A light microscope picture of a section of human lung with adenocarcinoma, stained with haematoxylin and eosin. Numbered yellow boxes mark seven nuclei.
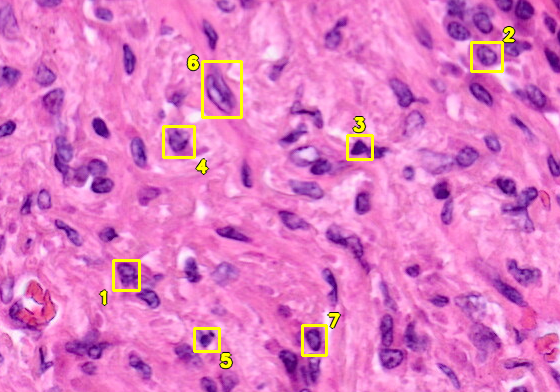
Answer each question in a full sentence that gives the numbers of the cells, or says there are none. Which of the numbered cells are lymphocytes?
The identity of cells 3 and 5: they are lymphocytes.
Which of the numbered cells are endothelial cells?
The nucleus labelled 6 alone belongs to an endothelial cell; the other marked nuclei do not.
